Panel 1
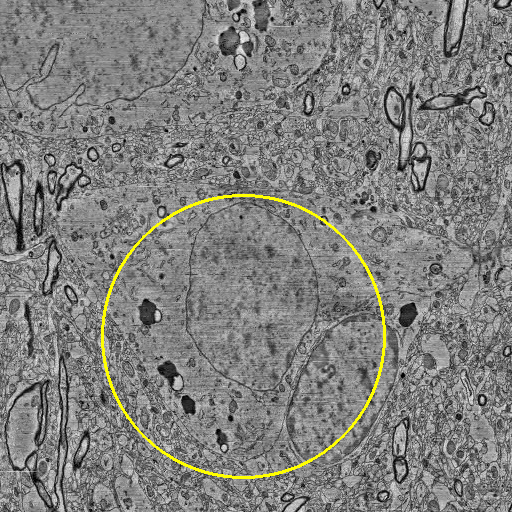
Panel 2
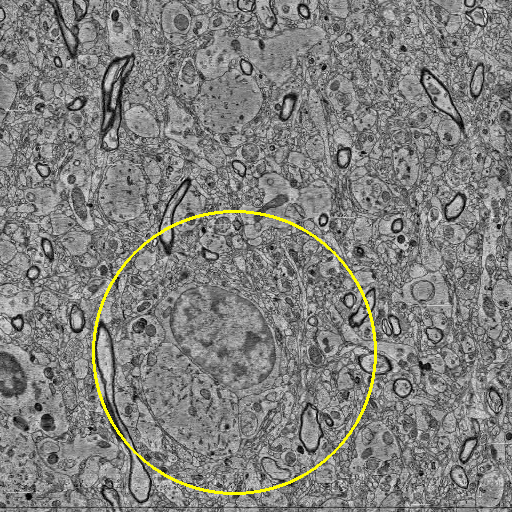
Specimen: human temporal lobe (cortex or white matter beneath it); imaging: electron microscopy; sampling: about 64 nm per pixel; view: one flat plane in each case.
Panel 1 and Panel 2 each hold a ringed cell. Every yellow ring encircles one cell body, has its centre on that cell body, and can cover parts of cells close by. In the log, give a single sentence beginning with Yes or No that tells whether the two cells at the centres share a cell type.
No, in Panel 1 and Panel 2 the centred cells are of two cell types.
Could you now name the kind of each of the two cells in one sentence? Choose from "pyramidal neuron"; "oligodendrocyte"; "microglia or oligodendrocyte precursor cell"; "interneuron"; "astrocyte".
The first ring encloses a pyramidal neuron; the second ring encloses an oligodendrocyte.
